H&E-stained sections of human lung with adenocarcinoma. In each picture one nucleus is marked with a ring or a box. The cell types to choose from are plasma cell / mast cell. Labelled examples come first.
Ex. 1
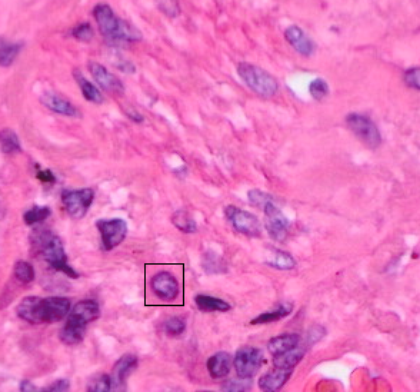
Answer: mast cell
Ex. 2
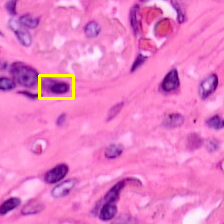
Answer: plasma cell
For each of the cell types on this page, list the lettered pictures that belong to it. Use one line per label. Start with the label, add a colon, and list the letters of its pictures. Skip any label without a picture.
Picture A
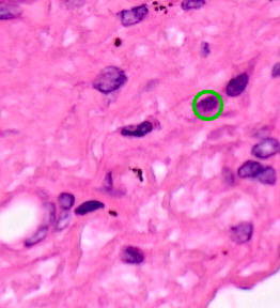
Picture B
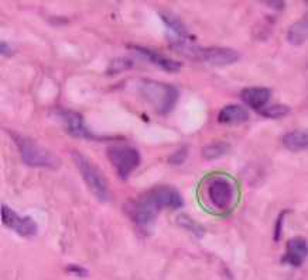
plasma cell: A, B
